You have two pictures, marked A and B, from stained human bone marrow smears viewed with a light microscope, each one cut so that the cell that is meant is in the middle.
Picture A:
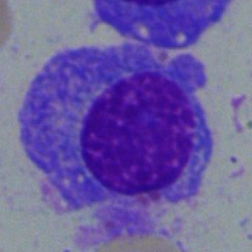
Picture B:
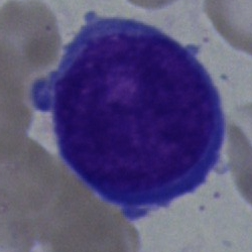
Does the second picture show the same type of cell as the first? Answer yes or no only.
no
